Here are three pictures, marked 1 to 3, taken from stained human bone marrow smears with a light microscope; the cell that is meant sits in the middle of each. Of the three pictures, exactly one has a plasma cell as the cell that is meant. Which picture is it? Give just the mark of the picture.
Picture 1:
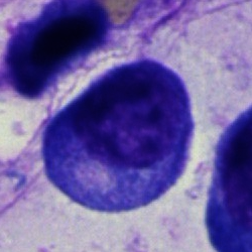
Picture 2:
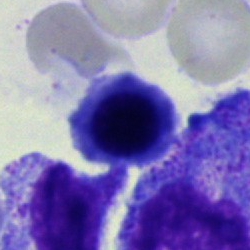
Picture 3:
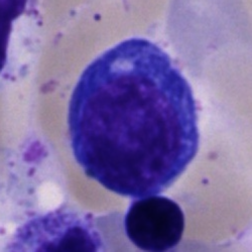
1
